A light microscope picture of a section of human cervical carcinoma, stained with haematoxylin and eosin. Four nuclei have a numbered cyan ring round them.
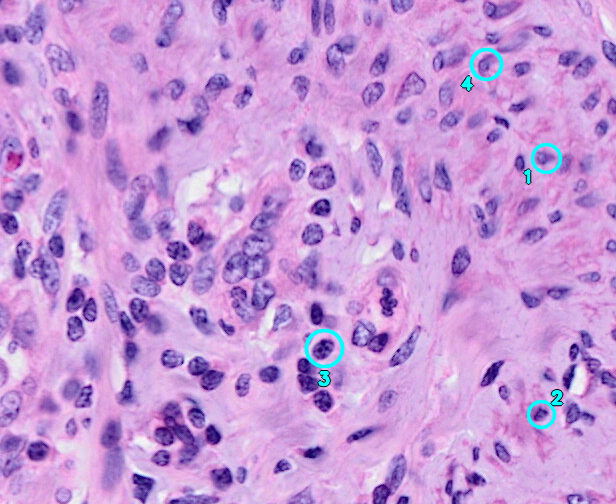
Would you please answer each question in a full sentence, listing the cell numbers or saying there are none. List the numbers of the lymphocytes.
As for the numbered cells, only cell 3 is a lymphocyte.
